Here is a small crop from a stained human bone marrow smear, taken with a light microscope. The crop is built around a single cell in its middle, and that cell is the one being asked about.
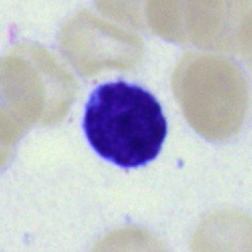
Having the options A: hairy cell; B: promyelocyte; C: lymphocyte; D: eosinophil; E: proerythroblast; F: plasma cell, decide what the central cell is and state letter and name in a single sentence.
The right choice is option C: the cell in the middle is a lymphocyte.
